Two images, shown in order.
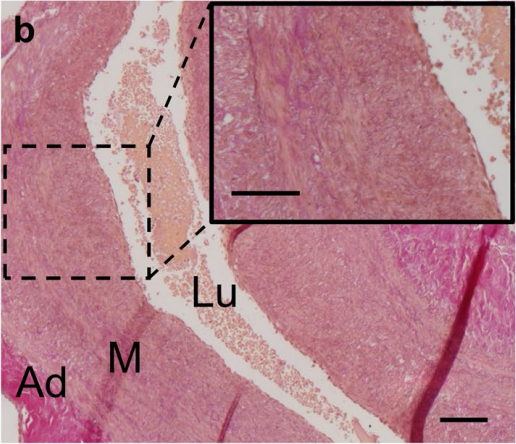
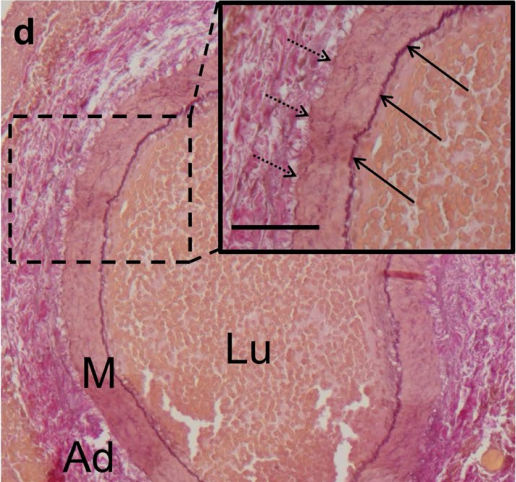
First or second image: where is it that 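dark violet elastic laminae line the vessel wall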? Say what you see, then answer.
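First image: the wall is uniformly pink-red with no continuous dark line at its inner or outer border. Second image: thin dark violet wavy lines run along the luminal and outer borders of the wall.
The second image.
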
